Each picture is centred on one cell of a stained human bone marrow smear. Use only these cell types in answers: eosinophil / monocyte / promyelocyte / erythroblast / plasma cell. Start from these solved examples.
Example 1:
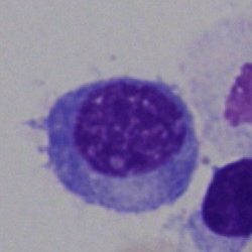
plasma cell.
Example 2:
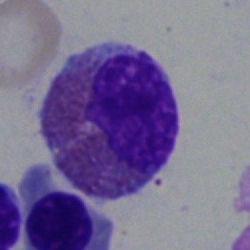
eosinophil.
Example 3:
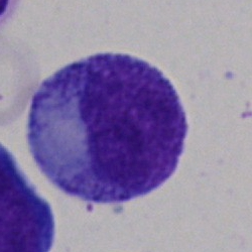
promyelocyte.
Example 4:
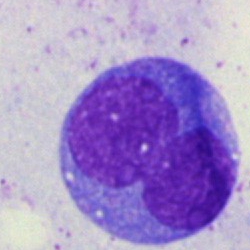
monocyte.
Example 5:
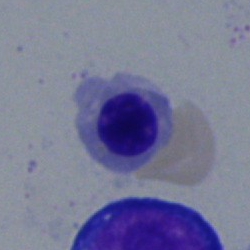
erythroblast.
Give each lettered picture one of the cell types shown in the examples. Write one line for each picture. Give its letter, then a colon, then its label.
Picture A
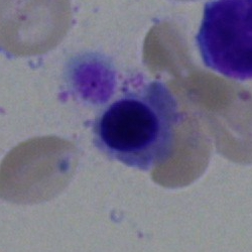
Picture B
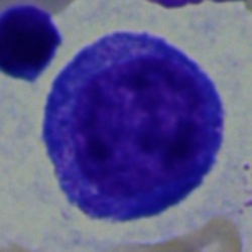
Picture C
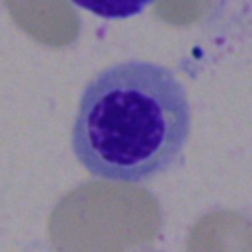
A: erythroblast.
B: promyelocyte.
C: erythroblast.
